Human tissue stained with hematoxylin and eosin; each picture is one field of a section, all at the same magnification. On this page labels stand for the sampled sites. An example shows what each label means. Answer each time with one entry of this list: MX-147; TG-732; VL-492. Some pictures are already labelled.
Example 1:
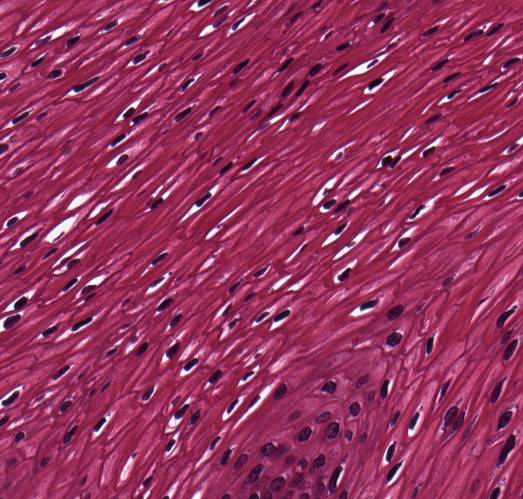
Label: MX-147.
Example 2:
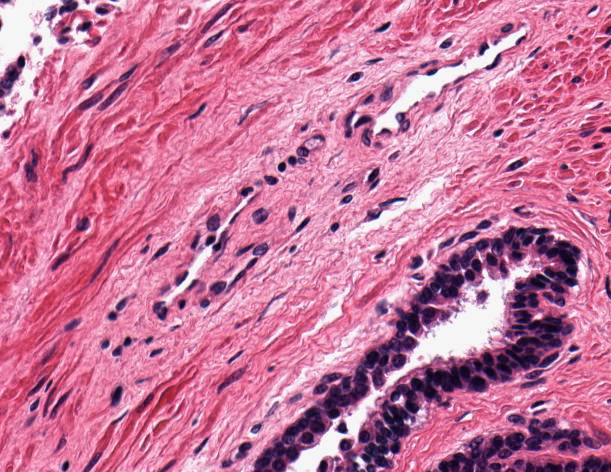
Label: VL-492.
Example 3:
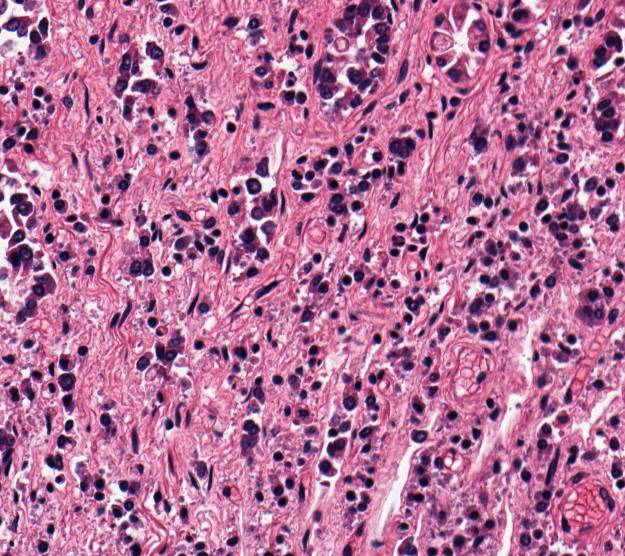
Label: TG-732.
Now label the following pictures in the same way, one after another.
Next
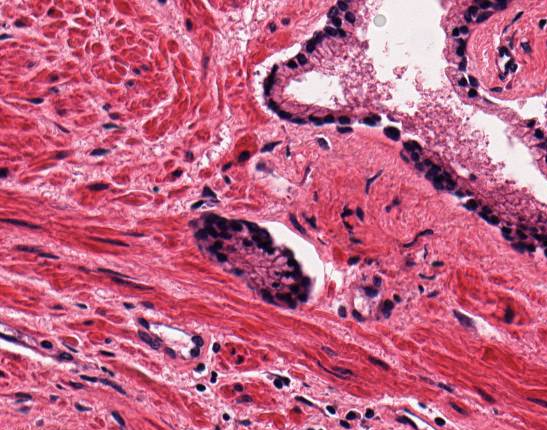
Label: VL-492.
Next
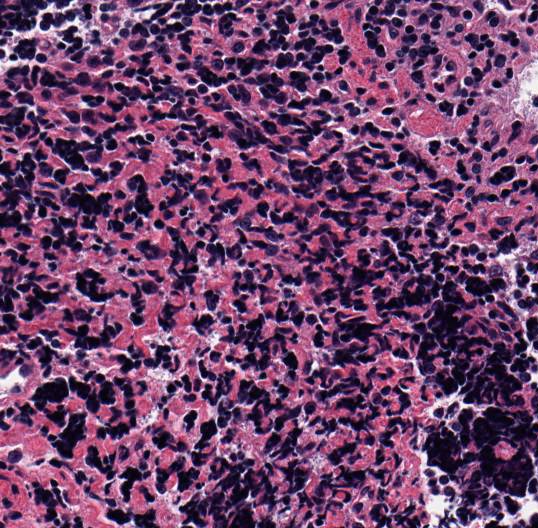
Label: TG-732.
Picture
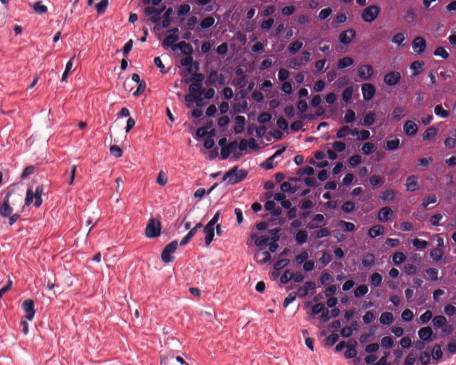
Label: MX-147.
